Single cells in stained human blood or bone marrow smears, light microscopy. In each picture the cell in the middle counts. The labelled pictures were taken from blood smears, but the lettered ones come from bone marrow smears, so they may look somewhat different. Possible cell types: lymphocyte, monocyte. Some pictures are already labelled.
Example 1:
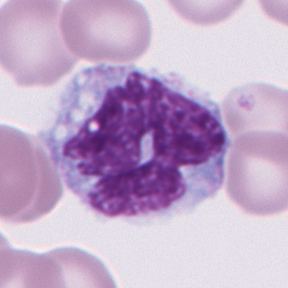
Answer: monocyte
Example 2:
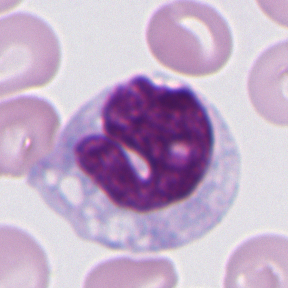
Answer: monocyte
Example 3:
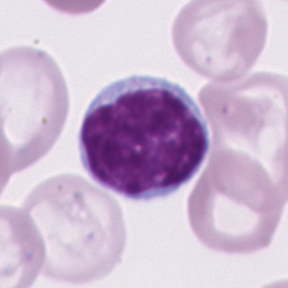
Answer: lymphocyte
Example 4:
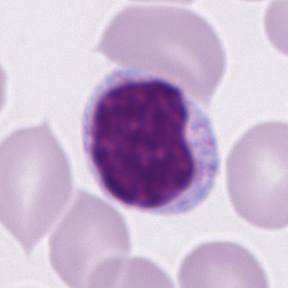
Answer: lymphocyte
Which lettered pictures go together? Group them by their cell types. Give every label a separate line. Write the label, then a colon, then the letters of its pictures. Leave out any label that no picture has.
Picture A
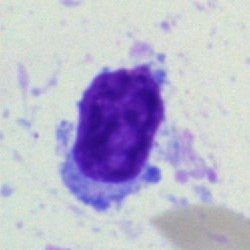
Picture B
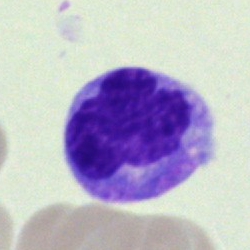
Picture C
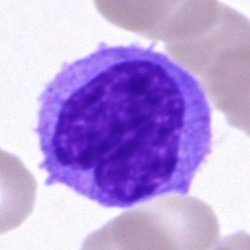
lymphocyte: A
monocyte: B, C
